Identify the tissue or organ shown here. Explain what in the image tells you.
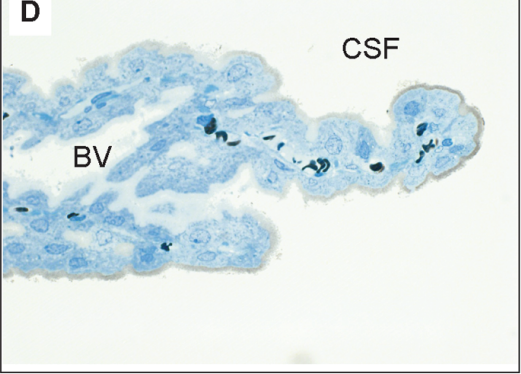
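Branching fronds covered by a single layer of epithelial cells. Thin vascular spaces with a few blood cells run inside the fronds. The fronds project into an open fluid space.
Hence: choroid plexus.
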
